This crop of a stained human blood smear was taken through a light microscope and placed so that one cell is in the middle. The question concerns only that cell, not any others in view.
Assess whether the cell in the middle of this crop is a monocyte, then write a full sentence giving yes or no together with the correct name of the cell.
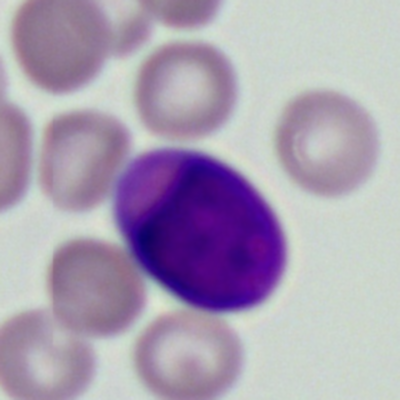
No, the central cell is not a monocyte; it is a myeloblast instead.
